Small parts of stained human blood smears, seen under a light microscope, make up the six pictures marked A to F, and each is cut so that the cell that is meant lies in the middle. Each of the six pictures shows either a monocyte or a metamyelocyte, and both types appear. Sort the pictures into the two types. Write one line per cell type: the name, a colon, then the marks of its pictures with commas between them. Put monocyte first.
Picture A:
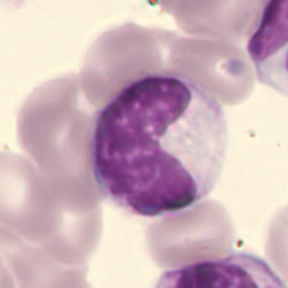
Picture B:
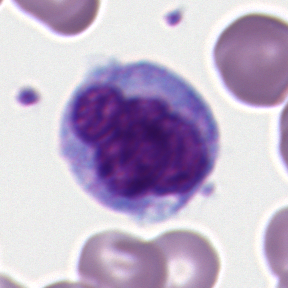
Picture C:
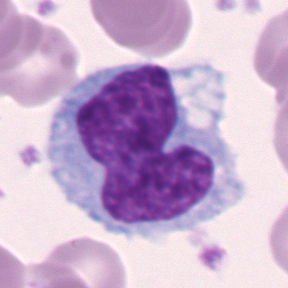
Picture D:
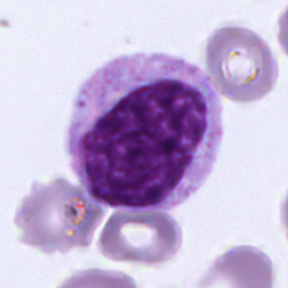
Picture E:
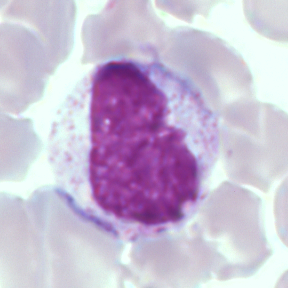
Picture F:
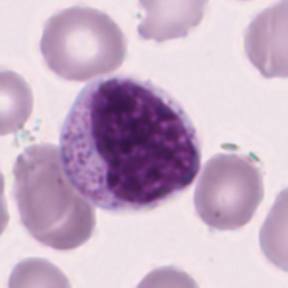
monocyte: B, C
metamyelocyte: A, D, E, F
